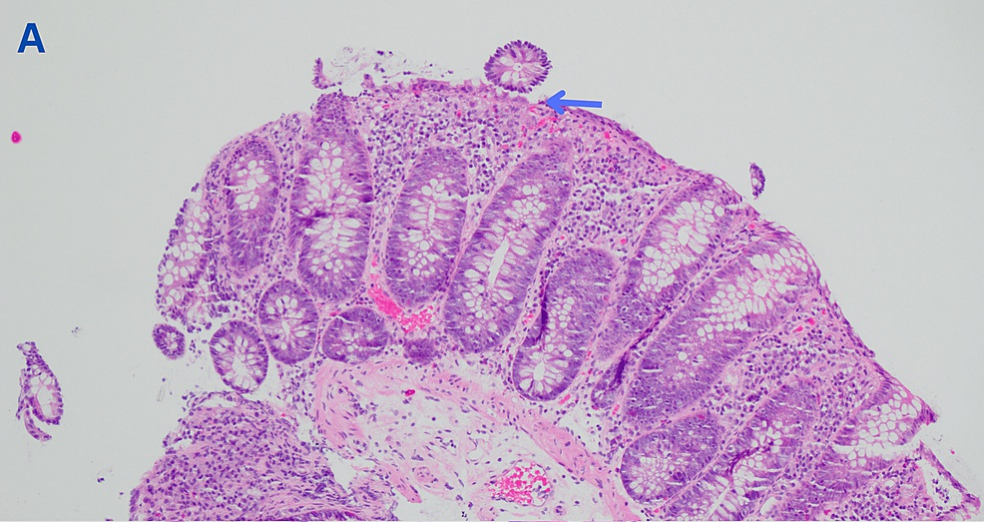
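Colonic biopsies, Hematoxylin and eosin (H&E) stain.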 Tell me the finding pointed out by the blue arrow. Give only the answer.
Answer: Degenerative changes of the surface epithelium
